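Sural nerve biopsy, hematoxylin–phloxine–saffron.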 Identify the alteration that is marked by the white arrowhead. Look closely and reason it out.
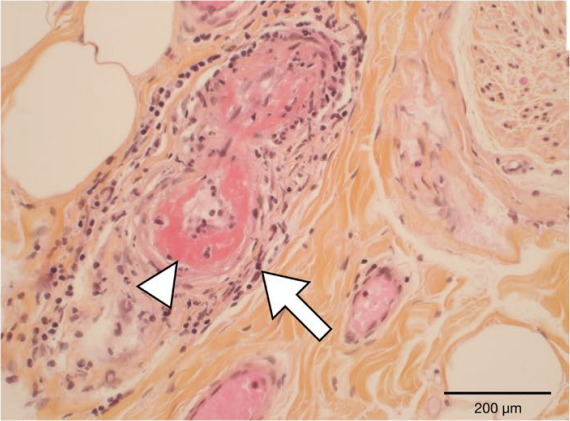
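The vessel wall is replaced by bright pink, smudgy, homogeneous material. Few nuclei remain within the pink material. So: fibrinoid necrosis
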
